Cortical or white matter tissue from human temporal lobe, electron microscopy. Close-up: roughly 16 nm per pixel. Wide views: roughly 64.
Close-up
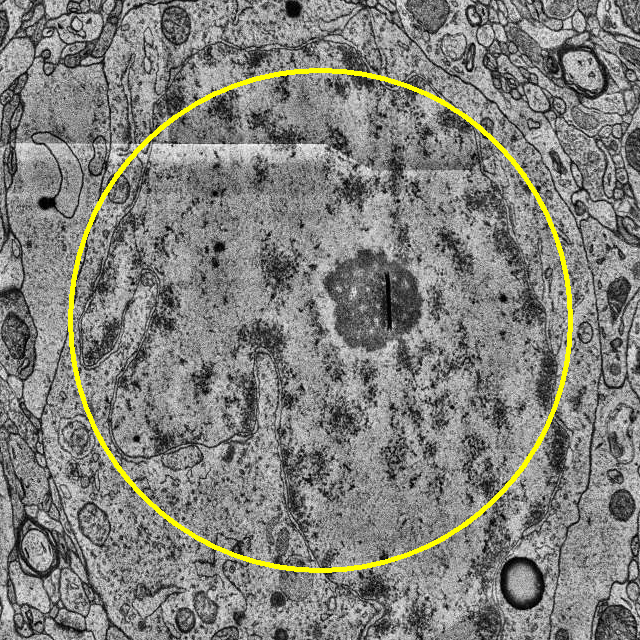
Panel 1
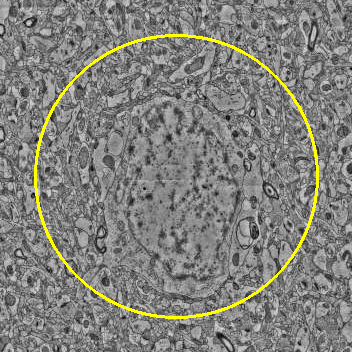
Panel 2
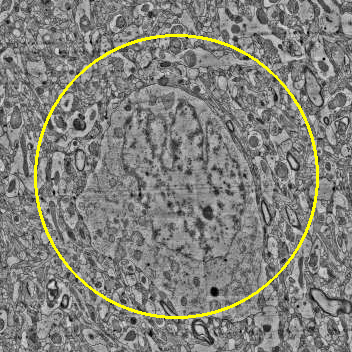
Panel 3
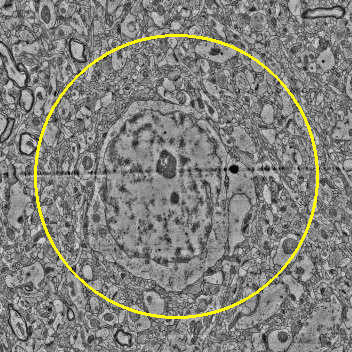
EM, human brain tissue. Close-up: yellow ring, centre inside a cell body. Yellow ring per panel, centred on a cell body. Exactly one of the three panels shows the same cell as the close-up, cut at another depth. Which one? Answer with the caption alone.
Panel 1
